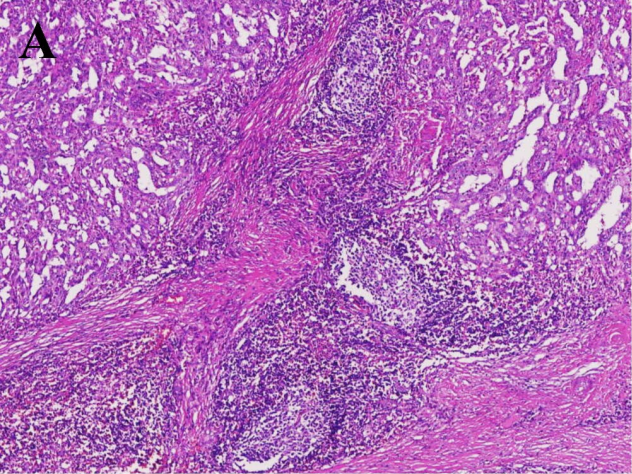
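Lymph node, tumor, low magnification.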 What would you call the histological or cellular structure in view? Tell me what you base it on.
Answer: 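Residual lymphatic follicle. Rounded clusters of densely packed small dark-blue cells with paler centers lie in the middle. Pink fibrous bands separate these clusters from the surrounding paler tumor tissue.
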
